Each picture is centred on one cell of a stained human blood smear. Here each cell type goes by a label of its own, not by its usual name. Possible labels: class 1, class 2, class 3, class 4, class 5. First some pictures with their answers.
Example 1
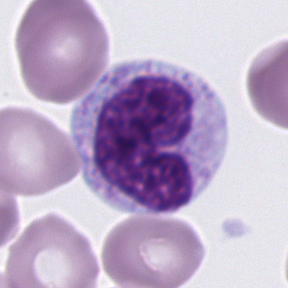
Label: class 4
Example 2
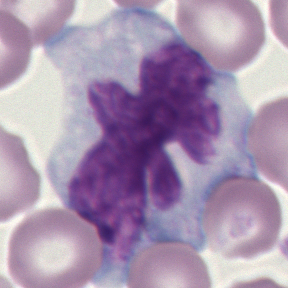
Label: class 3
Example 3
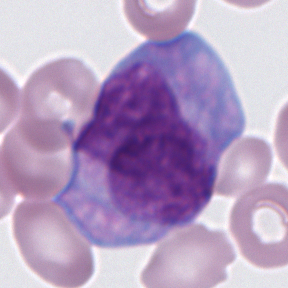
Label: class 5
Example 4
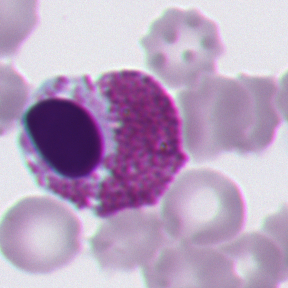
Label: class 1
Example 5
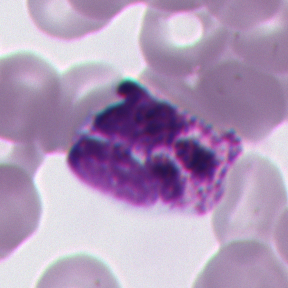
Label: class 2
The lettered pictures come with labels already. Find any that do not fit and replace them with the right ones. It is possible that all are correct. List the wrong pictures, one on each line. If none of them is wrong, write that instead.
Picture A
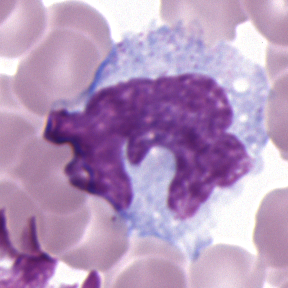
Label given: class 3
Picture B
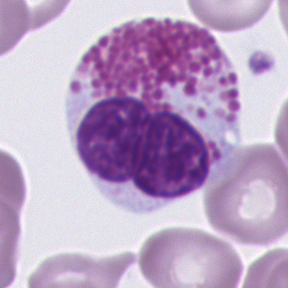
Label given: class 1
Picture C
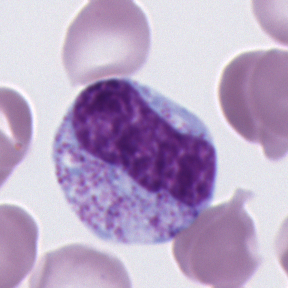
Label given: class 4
Every label is right.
